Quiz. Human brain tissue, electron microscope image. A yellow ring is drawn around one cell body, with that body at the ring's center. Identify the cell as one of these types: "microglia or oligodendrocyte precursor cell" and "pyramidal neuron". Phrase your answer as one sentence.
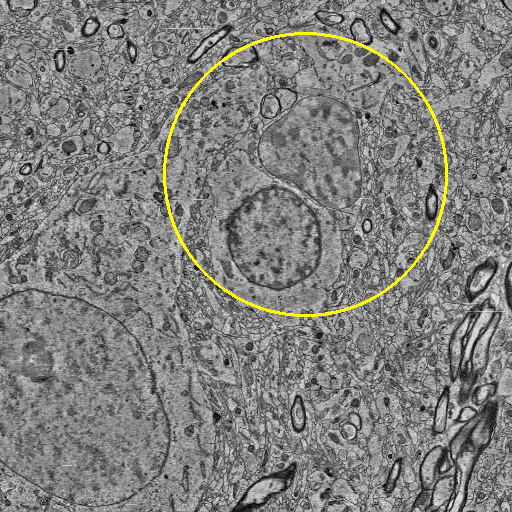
At the center of the ring sits a microglial cell or oligodendrocyte precursor cell.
